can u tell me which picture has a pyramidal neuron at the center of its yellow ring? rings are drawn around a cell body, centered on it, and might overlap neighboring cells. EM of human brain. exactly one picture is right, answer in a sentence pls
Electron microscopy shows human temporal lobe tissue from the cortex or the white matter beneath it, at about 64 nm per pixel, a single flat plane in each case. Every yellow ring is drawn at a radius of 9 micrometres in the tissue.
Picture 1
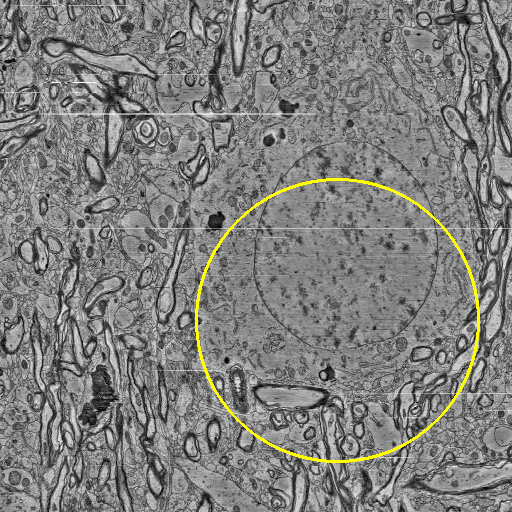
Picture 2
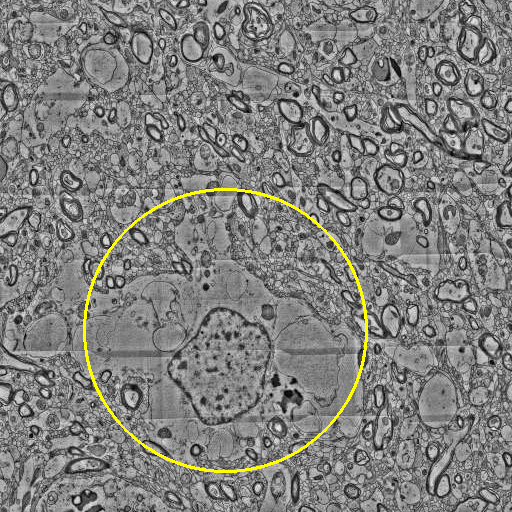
Picture 1 is the one.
